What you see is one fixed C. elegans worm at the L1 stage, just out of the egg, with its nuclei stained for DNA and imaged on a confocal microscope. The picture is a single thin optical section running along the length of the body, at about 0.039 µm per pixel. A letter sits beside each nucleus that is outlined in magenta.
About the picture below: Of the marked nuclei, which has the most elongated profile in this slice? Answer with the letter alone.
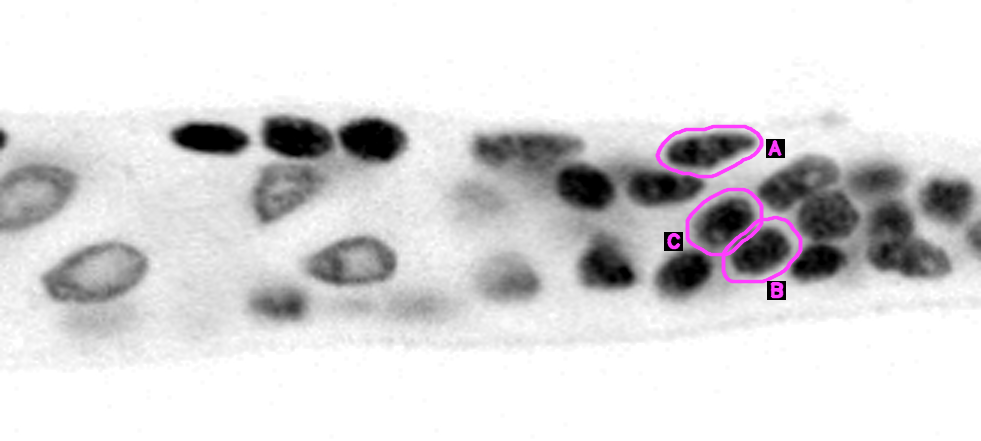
A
